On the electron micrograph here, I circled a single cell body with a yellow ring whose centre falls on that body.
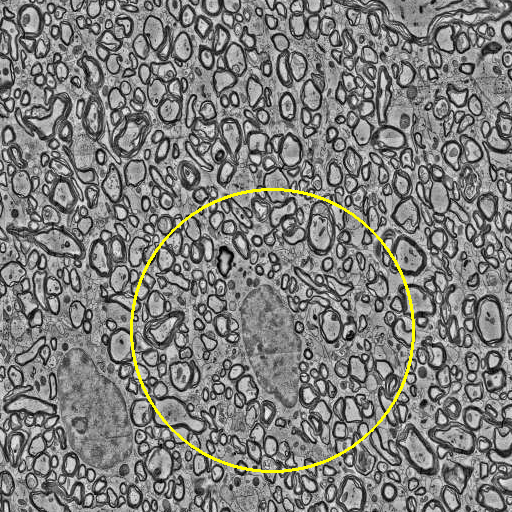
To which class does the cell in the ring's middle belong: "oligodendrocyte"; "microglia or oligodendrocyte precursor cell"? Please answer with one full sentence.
In this picture, the cell body circled at the ring's centre belongs to an oligodendrocyte.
